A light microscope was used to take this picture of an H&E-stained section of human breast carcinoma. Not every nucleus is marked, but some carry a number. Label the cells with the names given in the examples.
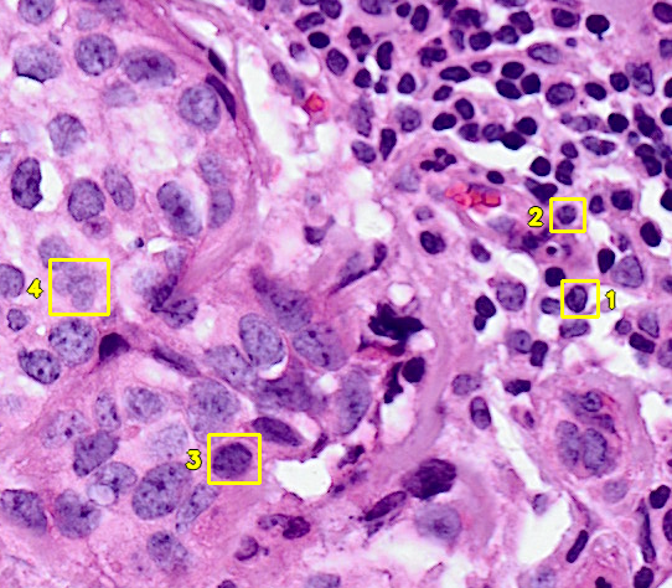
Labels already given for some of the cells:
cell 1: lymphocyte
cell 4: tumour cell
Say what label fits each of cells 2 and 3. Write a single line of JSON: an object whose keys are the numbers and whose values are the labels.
{"2": "lymphocyte", "3": "tumour cell"}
